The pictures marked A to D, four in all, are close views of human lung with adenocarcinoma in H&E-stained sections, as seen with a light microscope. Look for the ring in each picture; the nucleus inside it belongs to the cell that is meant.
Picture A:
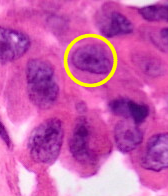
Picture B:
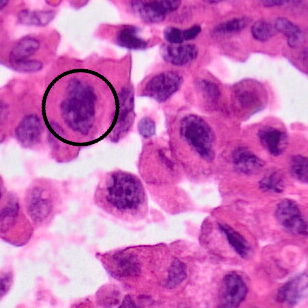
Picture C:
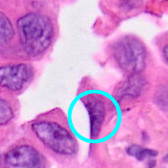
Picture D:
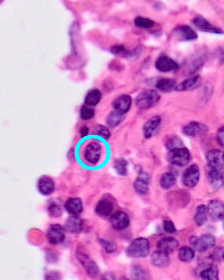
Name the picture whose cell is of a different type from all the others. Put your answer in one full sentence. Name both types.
Unlike the rest, which show carcinoma cells, picture D shows a lymphocyte.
